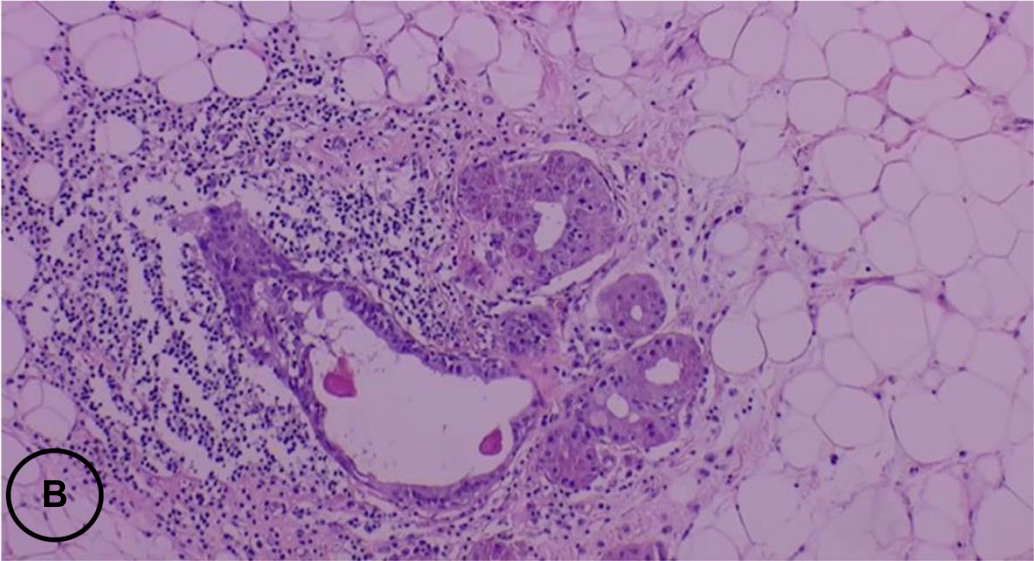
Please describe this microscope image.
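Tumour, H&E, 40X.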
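A dense infiltrate of small lymphoid cells with round dark nuclei and scant cytoplasm occupies the left part of the field, surrounding a dilated duct and small epithelial nests. The duct is lined by epithelium and contains pale material with a few pink droplets, and mature fat cells with empty cytoplasm fill the right side.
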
